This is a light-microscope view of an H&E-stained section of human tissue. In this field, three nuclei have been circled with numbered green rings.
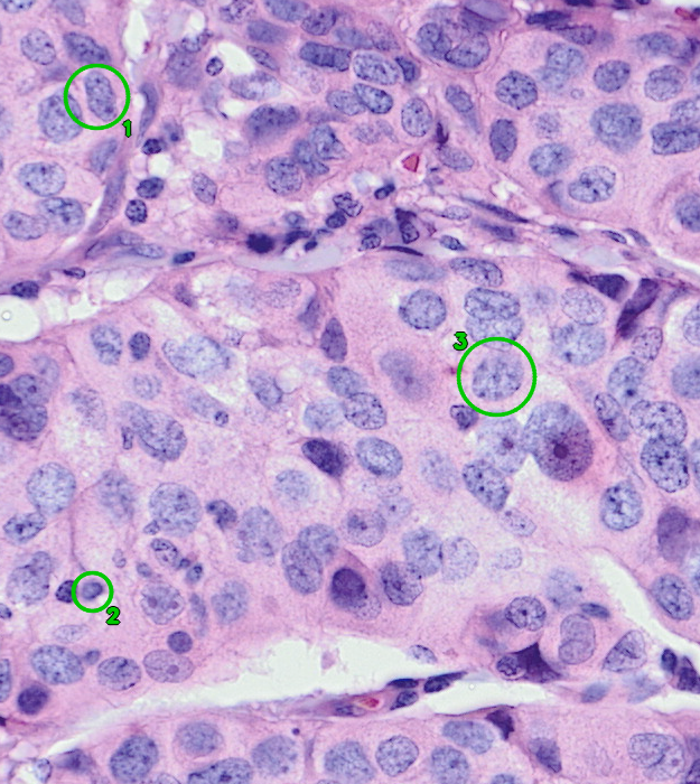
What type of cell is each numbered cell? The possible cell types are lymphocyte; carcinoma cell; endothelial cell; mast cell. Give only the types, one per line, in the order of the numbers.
carcinoma cell
lymphocyte
carcinoma cell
